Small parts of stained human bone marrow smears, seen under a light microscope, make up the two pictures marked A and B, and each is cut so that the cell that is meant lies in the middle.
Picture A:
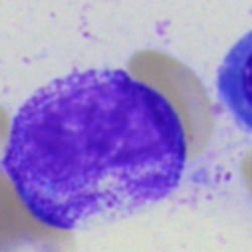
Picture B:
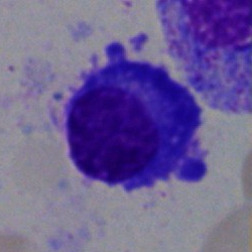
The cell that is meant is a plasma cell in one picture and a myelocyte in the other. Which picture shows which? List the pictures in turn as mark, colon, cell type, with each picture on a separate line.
A: myelocyte
B: plasma cell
